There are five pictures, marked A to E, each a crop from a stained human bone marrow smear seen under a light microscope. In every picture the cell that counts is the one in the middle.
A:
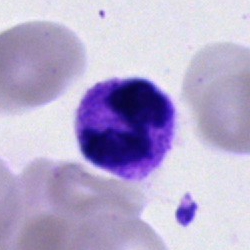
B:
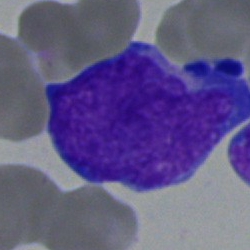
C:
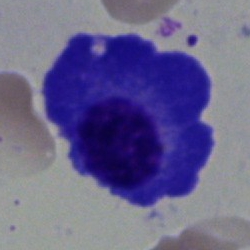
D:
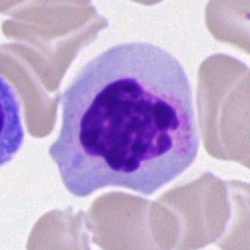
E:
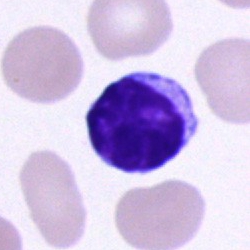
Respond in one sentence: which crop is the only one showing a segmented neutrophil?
Crop A is where a segmented neutrophil is shown.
